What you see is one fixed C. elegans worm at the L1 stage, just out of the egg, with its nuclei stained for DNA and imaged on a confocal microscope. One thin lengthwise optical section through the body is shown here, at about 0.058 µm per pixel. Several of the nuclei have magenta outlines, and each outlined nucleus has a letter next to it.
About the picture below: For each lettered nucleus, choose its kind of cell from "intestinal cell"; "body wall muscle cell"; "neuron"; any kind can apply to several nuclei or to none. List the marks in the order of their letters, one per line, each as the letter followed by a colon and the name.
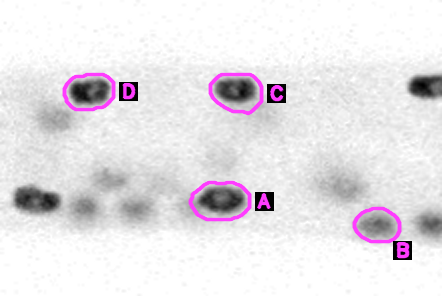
A: body wall muscle cell
B: neuron
C: body wall muscle cell
D: body wall muscle cell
